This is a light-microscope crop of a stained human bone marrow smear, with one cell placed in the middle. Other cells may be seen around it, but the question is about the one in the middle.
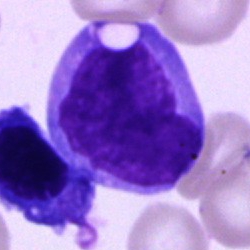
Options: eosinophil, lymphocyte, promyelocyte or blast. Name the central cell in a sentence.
This crop is built around a blast at its centre.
